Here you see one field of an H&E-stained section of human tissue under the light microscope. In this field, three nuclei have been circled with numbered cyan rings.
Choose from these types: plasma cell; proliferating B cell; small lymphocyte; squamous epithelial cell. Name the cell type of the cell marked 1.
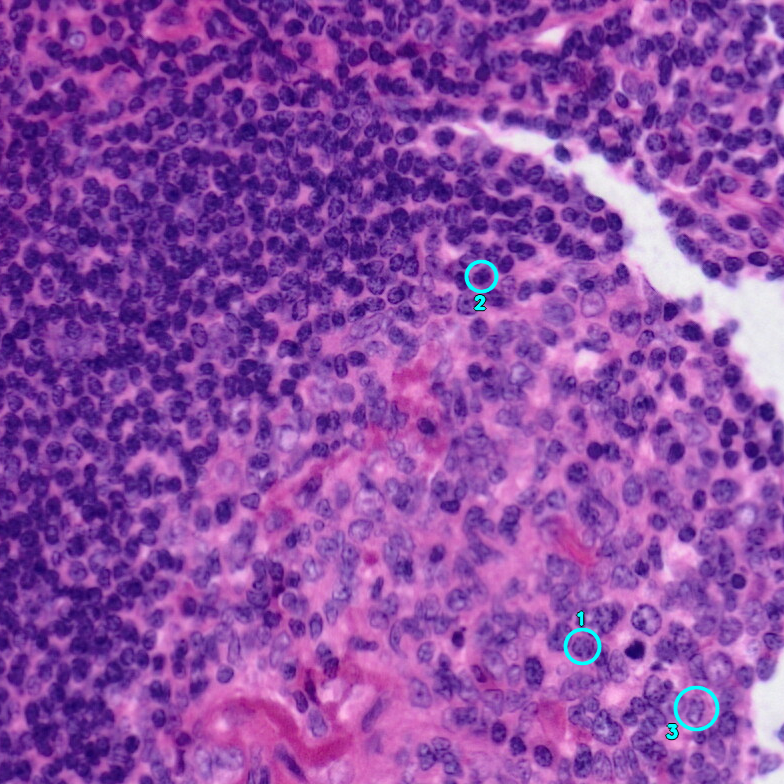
proliferating B cell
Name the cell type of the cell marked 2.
small lymphocyte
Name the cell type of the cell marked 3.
proliferating B cell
